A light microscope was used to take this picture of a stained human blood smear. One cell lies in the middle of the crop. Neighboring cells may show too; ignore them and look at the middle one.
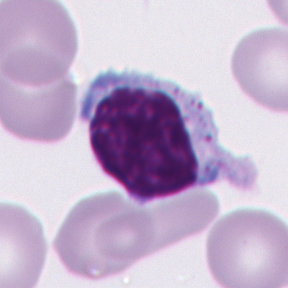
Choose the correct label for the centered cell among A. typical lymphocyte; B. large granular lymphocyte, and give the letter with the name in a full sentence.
Of the choices given, option B is right, as the central cell is a large granular lymphocyte.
